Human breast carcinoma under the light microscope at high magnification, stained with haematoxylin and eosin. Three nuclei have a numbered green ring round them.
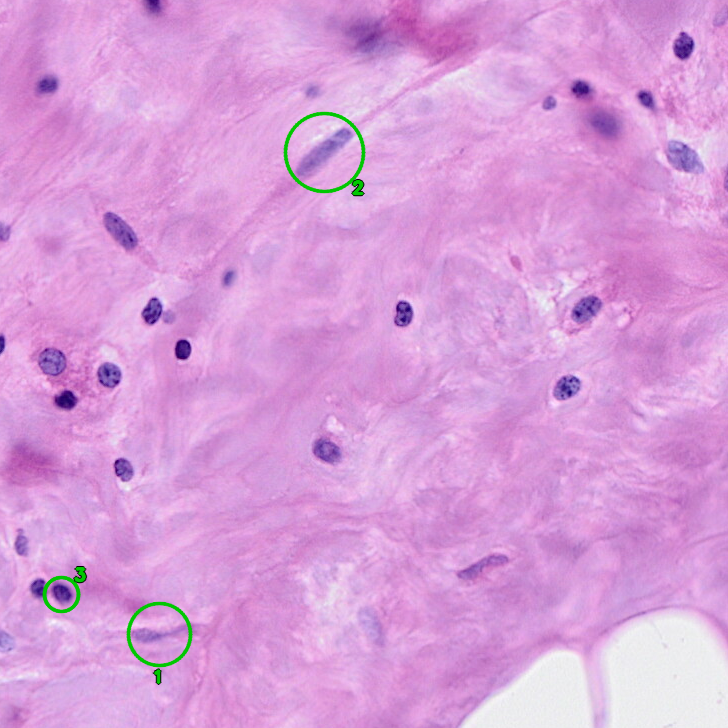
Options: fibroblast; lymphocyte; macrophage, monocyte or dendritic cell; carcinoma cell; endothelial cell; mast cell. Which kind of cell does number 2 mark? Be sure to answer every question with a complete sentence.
Cell 2, as marked in the section, is a fibroblast.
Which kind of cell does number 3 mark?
Cell 3 is classified as a lymphocyte.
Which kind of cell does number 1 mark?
Among the marked cells, number 1 is a fibroblast.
